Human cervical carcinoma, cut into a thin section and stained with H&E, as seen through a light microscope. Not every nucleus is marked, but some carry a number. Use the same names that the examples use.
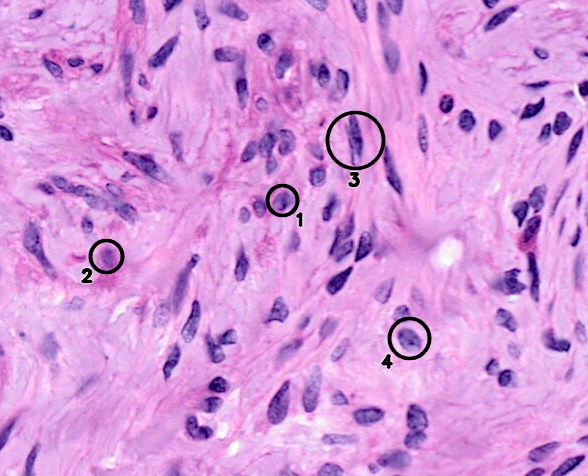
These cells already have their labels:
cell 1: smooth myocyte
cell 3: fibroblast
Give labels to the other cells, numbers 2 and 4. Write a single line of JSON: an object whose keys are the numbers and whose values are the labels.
{"2": "smooth myocyte", "4": "fibroblast"}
